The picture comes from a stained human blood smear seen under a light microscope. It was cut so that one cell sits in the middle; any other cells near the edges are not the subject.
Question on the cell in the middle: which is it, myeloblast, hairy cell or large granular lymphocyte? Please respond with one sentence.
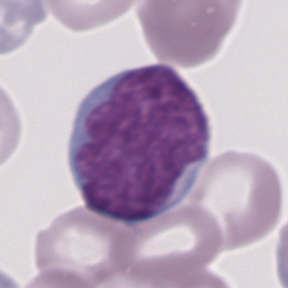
The crop shows a myeloblast in its centre.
